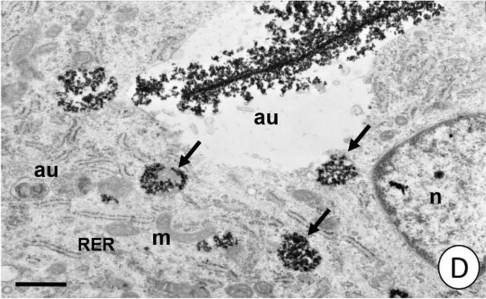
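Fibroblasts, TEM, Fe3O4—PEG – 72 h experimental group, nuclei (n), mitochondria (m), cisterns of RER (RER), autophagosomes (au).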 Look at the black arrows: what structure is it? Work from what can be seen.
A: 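Arrows point to rounded clusters of very dark, fine particles in the cytoplasm. The particles are far darker than mitochondria or other organelles.
Hence: electron-dense granules.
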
